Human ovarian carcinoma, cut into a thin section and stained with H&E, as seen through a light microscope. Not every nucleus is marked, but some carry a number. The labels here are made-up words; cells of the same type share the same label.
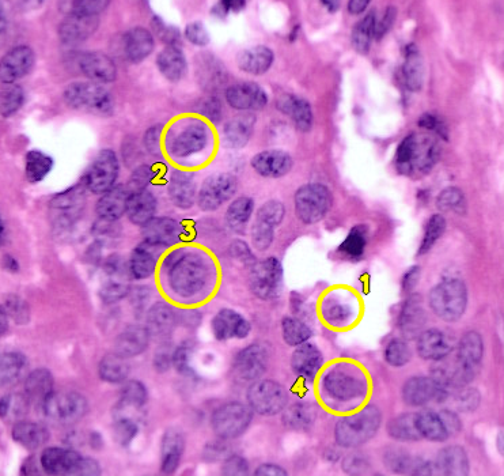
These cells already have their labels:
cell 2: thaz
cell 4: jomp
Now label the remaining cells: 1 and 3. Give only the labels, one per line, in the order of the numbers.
jomp
jomp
